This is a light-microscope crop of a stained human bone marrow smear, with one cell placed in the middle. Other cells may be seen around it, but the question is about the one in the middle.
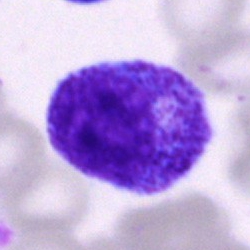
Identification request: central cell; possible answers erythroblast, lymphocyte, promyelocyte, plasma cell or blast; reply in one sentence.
The cell featured at the centre of this crop is a promyelocyte.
